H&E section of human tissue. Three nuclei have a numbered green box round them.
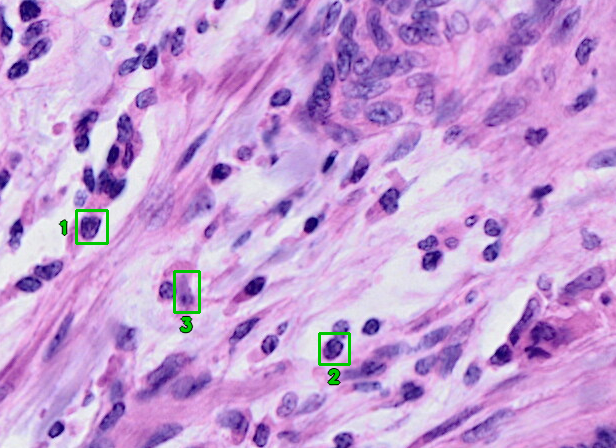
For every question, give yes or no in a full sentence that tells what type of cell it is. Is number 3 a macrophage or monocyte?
Yes, the cell given number 3 is a macrophage or monocyte.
